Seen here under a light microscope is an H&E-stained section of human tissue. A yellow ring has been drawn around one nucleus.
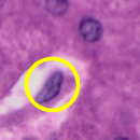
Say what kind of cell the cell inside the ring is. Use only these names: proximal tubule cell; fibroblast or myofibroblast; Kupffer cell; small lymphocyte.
Kupffer cell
